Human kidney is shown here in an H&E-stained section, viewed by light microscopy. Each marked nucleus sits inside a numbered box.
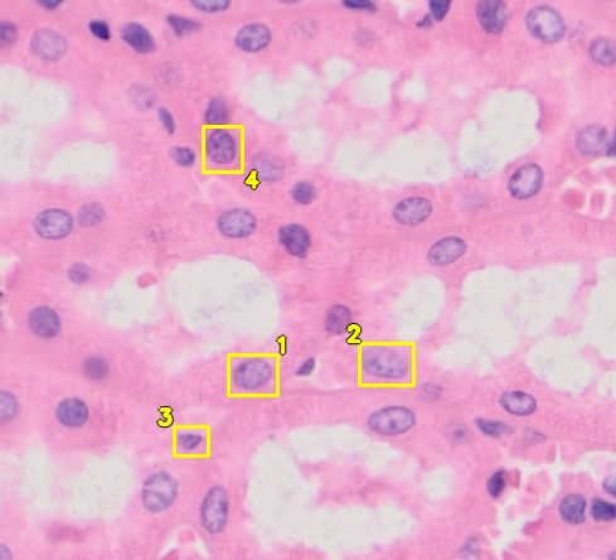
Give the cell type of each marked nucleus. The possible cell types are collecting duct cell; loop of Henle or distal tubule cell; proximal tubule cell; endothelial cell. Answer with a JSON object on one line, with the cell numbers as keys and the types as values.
{"1": "proximal tubule cell", "2": "proximal tubule cell", "3": "endothelial cell", "4": "proximal tubule cell"}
